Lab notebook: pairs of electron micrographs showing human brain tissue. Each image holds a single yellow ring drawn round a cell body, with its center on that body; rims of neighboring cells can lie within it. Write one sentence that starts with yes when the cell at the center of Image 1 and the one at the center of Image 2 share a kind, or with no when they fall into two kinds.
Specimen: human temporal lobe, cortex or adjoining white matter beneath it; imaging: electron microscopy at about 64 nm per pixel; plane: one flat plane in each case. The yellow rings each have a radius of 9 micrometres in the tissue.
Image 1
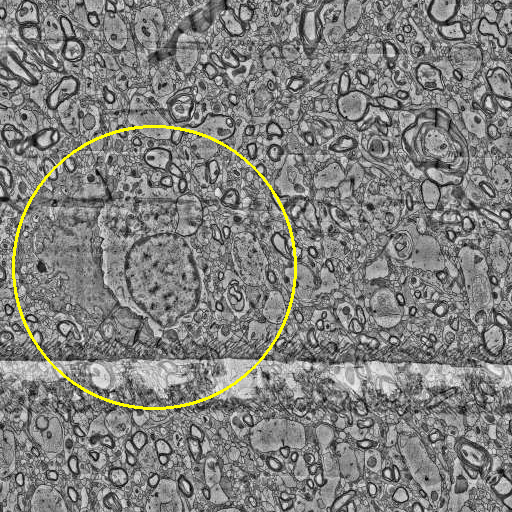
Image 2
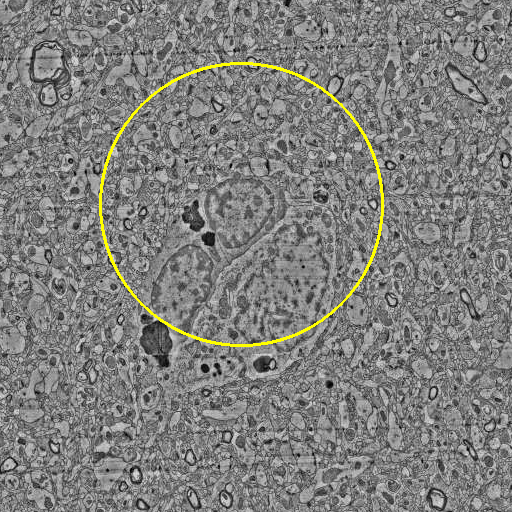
No, the centered cell in Image 1 and the centered cell in Image 2 are of two kinds.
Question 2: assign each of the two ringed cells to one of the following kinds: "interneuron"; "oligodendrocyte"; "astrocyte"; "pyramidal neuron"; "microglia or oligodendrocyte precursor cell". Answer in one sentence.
The two cells are a microglial cell or oligodendrocyte precursor cell in the first picture and an oligodendrocyte in the second.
